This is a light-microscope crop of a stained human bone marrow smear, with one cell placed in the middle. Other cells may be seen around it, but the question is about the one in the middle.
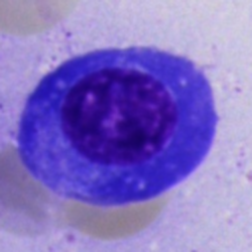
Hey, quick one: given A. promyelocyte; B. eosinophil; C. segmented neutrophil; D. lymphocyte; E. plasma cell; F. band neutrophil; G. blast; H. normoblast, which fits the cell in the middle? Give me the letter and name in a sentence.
What sits in the middle of the crop is a plasma cell, and option E is correct.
